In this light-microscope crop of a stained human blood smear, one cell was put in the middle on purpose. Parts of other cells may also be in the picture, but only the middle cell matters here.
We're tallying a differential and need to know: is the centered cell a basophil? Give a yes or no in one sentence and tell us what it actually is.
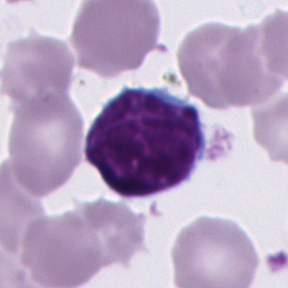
No, the cell centered in the crop is a typical lymphocyte, not a basophil.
